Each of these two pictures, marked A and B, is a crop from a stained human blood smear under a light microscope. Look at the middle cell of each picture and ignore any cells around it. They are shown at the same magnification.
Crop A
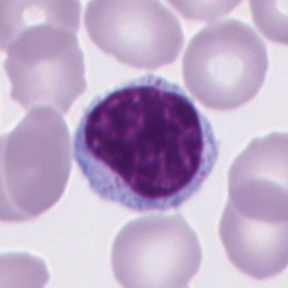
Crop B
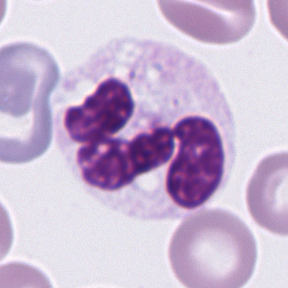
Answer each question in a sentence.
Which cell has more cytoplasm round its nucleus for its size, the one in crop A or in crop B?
Of the two, the nucleus in crop B leaves more room for cytoplasm.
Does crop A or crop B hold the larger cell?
Larger is the cell in crop B, at roughly 1.5 times the area of the other.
